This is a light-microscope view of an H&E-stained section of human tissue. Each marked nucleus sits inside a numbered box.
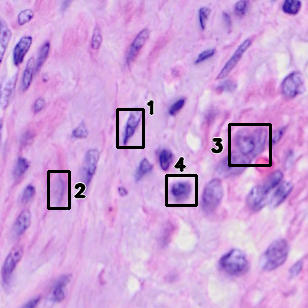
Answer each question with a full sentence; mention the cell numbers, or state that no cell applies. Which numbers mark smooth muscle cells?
With the exception of cell 2, no marked cell is a smooth muscle cell.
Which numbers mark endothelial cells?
Cell 3 is an endothelial cell, which is true of none of the other numbered cells.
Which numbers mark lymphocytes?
Response: cell 4 is a lymphocyte, and no other numbered cell is.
